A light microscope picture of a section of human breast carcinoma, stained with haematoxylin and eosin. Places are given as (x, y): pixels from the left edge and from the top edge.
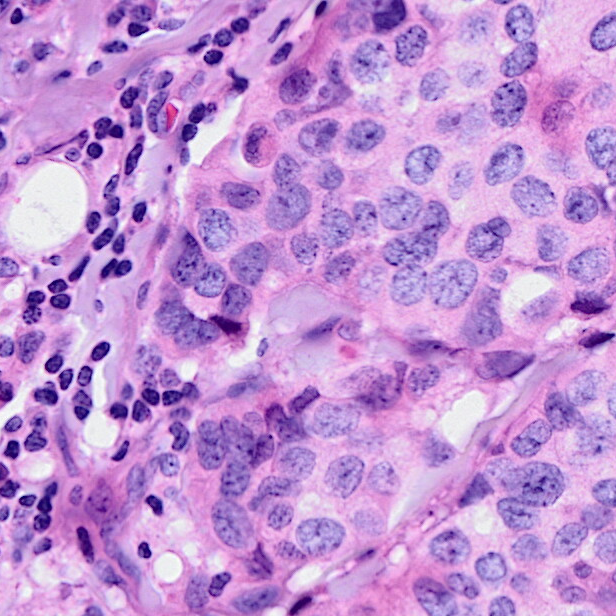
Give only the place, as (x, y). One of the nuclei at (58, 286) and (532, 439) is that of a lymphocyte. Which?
(58, 286)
